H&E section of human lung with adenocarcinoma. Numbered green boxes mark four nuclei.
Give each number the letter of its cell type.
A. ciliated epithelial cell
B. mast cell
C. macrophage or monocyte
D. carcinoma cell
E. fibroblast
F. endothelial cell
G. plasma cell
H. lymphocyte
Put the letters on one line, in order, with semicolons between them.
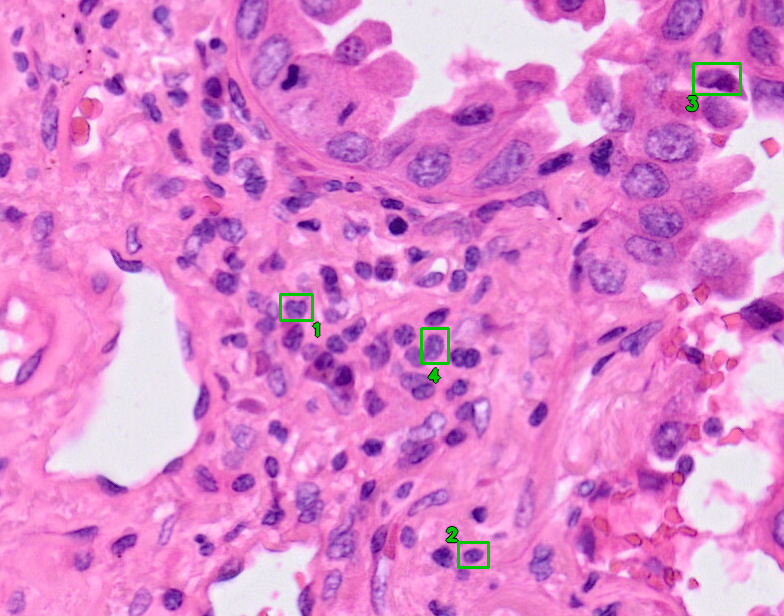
H; H; D; H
